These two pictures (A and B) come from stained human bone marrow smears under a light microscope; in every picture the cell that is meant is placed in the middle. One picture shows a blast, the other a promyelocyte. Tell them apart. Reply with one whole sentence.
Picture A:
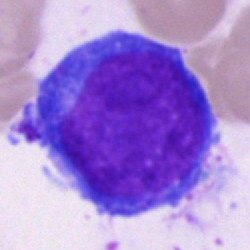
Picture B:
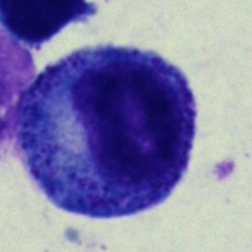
It is picture A that shows a blast, and picture B that shows a promyelocyte.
